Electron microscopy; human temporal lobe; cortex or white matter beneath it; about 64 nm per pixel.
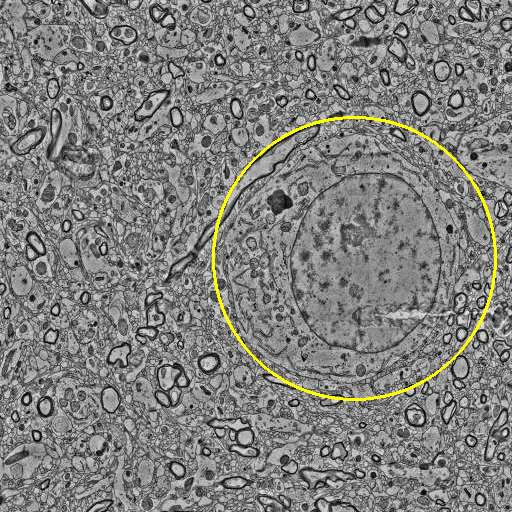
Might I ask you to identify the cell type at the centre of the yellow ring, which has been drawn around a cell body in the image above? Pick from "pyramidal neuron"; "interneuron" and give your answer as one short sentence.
The centre of the ring falls on an interneuron.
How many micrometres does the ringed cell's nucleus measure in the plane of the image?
Approximately 12 by 10 micrometers in this plane.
